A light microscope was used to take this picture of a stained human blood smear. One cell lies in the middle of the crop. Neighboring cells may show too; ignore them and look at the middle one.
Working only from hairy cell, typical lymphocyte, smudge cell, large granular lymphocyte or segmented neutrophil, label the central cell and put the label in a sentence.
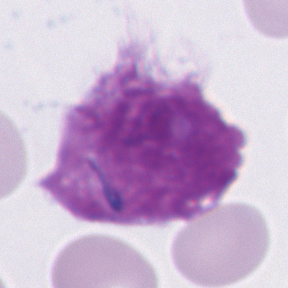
The identification for the central cell is a smudge cell.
